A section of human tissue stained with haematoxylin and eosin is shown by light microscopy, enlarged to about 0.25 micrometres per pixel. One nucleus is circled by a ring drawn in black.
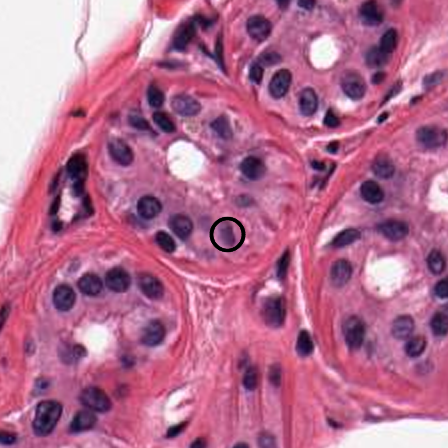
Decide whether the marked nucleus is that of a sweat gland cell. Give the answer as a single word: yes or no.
yes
